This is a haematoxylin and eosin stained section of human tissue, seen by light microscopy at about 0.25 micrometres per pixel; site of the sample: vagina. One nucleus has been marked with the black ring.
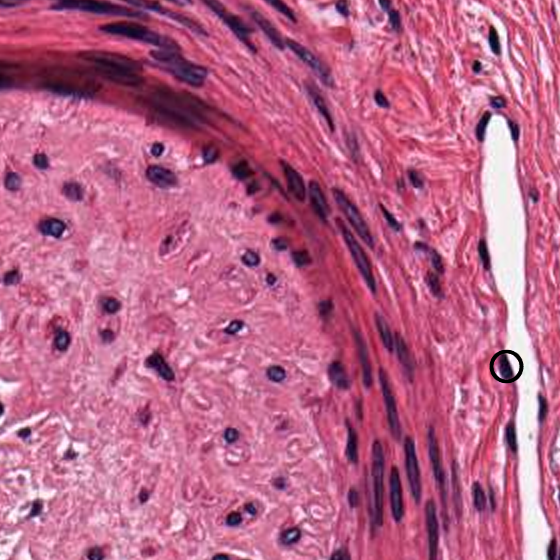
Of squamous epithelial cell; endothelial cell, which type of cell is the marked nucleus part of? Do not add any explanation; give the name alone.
endothelial cell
